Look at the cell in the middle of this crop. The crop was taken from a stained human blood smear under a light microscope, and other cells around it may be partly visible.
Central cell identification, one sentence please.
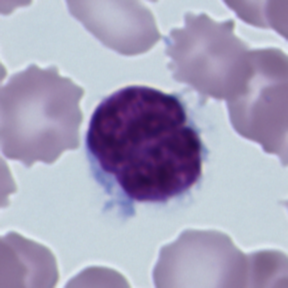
In the middle of this smear crop, the cell is a hairy cell.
